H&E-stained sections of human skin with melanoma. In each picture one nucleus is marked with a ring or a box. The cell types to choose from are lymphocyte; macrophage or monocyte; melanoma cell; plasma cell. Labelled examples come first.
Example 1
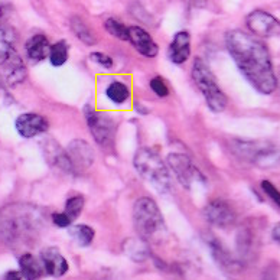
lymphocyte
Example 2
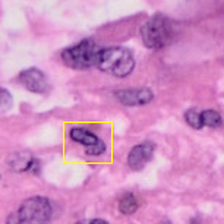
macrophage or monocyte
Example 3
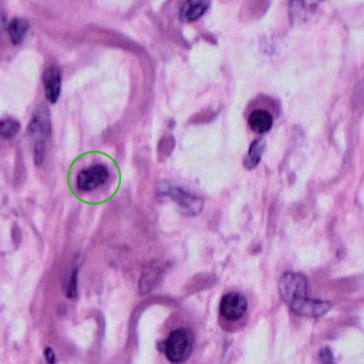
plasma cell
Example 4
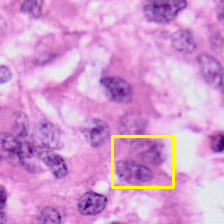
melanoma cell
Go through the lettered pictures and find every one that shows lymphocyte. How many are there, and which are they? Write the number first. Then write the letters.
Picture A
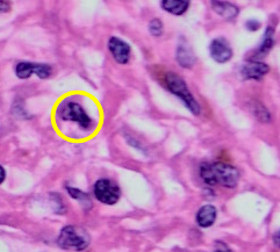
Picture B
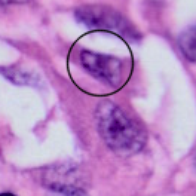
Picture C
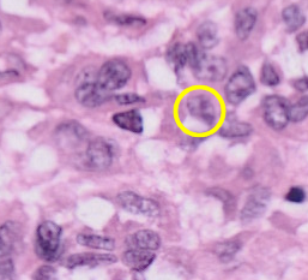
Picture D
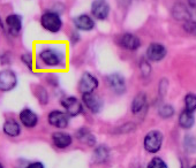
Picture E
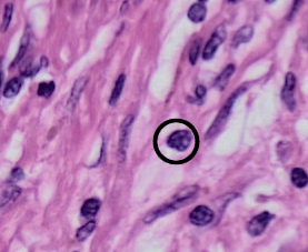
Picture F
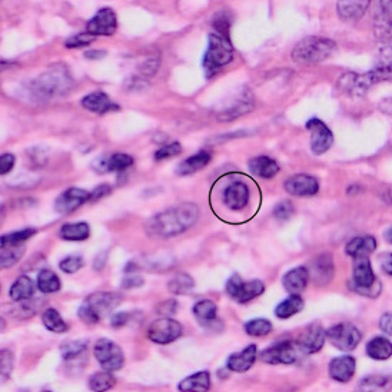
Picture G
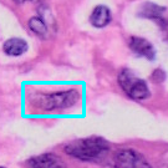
Count: 2 (D, E)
